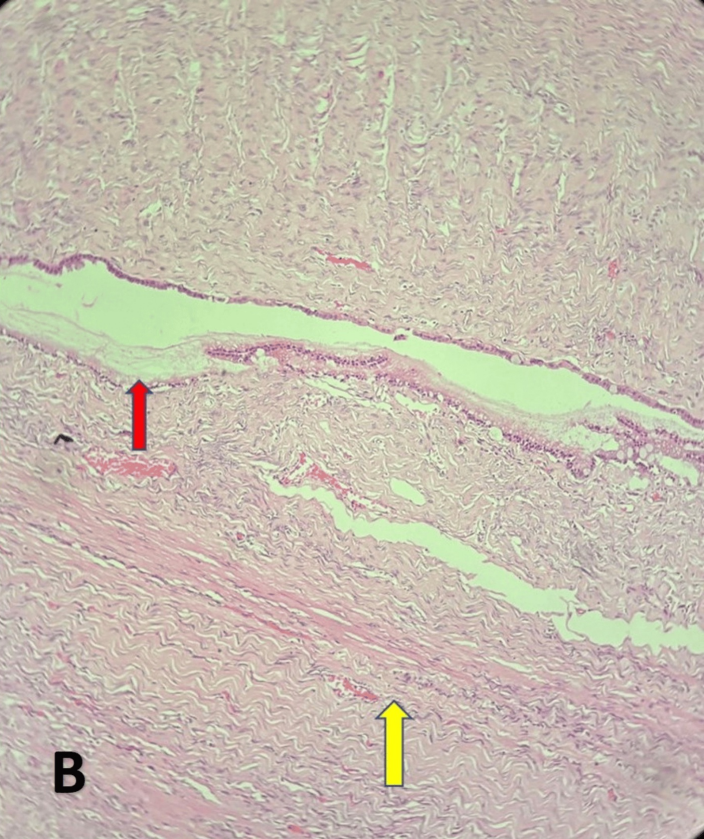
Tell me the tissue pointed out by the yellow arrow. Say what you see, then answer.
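Pink wavy collagen fibres with scattered spindle nuclei fill the lower field. Few cells lie among dense fibres. The answer: fibrotic stroma.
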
